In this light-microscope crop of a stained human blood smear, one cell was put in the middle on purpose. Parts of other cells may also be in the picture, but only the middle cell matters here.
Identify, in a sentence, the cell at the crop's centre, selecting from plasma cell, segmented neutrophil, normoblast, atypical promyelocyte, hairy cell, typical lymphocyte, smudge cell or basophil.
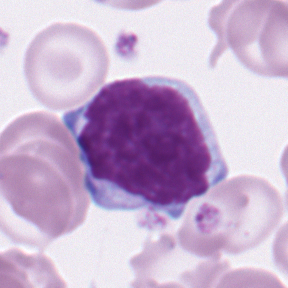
The cell at the centre of the field is a typical lymphocyte.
